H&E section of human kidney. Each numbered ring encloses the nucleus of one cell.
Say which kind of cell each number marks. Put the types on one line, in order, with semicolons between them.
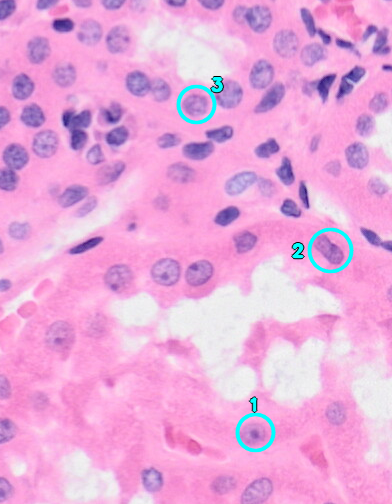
proximal tubule cell; proximal tubule cell; loop of Henle or distal tubule cell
